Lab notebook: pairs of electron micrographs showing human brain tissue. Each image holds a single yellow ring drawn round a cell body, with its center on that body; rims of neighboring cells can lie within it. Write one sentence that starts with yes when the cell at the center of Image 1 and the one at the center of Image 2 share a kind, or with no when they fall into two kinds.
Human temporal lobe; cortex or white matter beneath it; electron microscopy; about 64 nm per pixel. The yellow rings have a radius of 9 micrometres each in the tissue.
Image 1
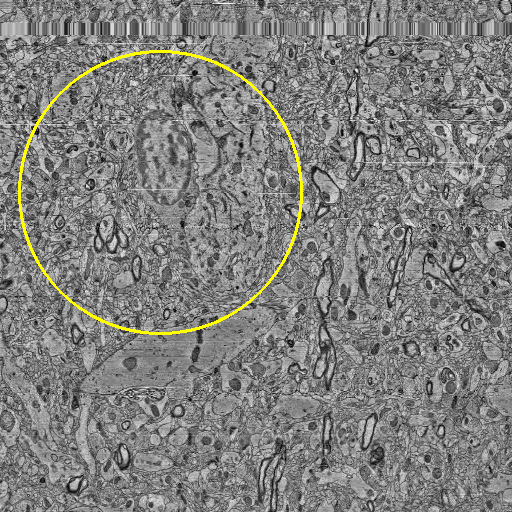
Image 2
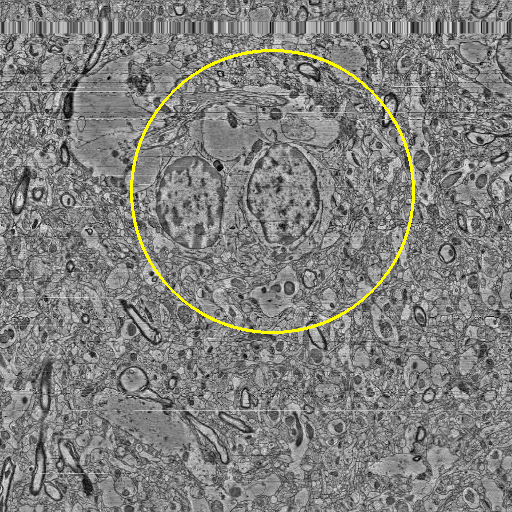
No, the centered cell in Image 1 and the centered cell in Image 2 are of two kinds.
